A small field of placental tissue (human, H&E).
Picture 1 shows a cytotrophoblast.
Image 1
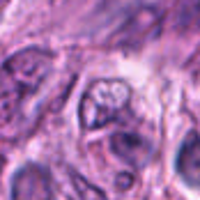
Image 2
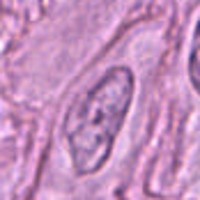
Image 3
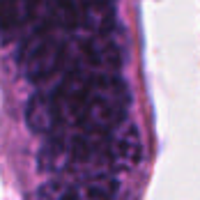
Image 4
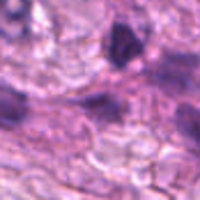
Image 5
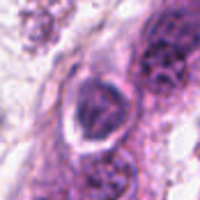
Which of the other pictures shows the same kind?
Picture 5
